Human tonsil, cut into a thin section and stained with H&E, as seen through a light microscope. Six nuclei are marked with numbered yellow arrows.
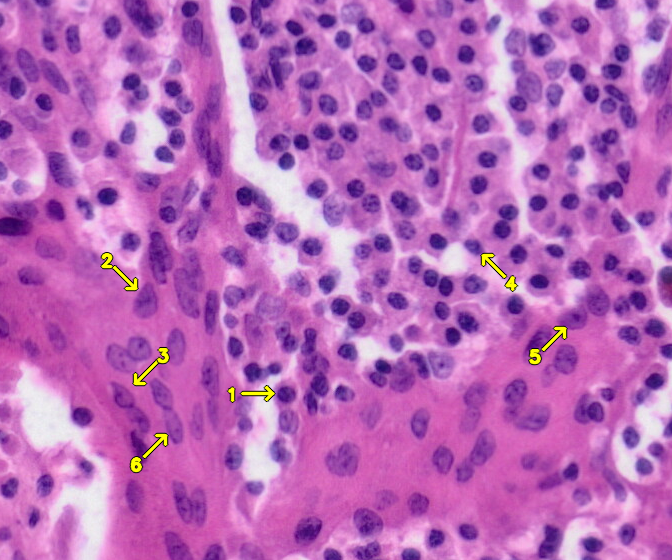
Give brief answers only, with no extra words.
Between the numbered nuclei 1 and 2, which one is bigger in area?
2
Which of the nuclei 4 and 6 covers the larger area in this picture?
6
